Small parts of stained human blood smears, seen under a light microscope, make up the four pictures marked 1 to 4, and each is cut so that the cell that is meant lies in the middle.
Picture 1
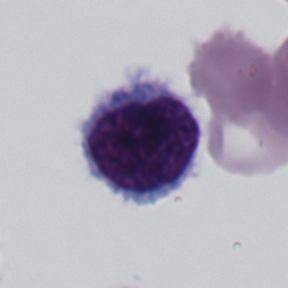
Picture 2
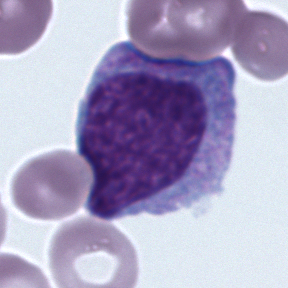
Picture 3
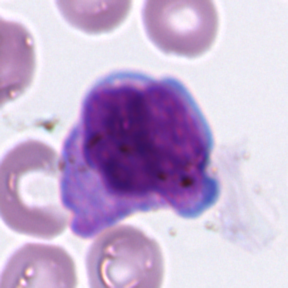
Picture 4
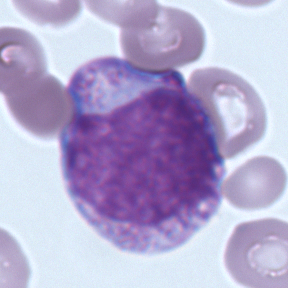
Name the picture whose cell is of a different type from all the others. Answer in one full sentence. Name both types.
Picture 1 differs, because its cell is a hairy cell and the rest are atypical promyelocytes.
